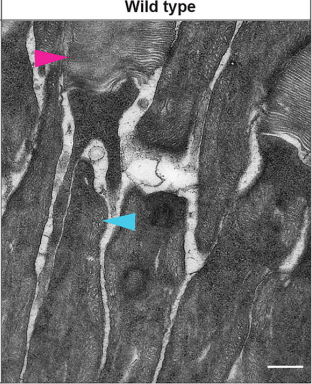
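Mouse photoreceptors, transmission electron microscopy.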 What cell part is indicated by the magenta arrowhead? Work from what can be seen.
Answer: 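At the top, a region of tightly stacked parallel membranes.
Answer: outer segments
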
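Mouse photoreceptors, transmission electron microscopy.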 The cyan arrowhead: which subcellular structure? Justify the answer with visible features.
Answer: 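Inner segments. Elongated compartments packed with elongated mitochondria. They lie below the stacked membrane region.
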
